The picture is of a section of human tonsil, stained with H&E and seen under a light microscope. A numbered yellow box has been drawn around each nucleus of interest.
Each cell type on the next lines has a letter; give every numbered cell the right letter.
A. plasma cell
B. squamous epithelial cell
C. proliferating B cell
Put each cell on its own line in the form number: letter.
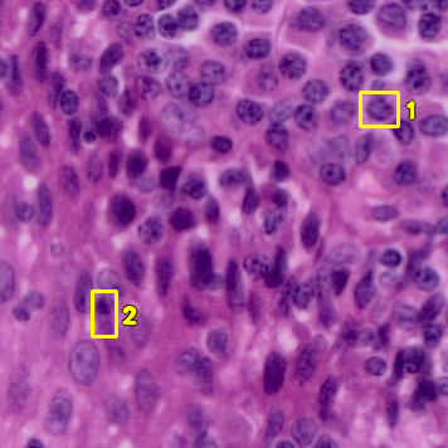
1: A
2: B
